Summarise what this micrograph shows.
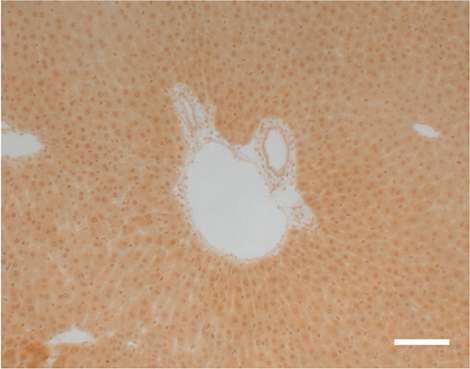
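This is liver tissue with hepatocytes arranged in plates that run outward from a large central vessel. The hepatocytes are polygonal with round central nuclei and light brown cytoplasm. A small group of vessels with connective tissue sits at the side of the large vessel. Thin sinusoidal spaces separate the plates of cells.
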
